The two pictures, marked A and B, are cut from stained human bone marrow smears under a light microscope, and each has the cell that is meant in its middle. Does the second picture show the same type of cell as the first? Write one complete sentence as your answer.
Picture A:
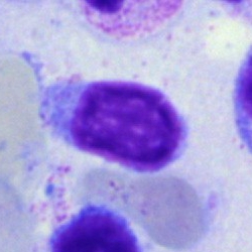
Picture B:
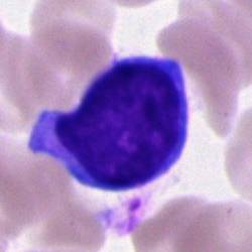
No; the cell in picture A is a lymphocyte, while the one in picture B is a blast.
